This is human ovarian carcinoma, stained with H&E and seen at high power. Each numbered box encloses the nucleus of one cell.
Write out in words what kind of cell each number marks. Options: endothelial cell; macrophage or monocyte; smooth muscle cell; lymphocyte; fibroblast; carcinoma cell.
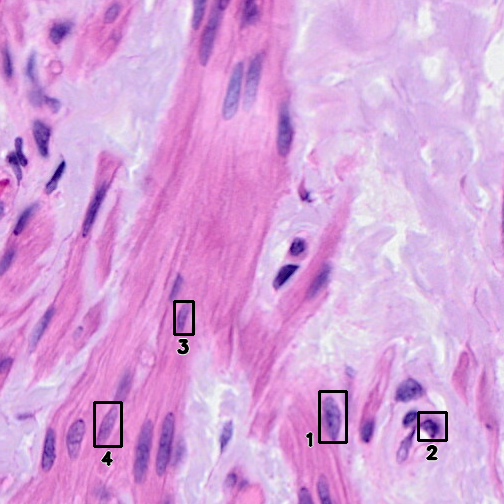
Cells 1, 3 and 4 are smooth muscle cells. Cell 2 is an endothelial cell.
